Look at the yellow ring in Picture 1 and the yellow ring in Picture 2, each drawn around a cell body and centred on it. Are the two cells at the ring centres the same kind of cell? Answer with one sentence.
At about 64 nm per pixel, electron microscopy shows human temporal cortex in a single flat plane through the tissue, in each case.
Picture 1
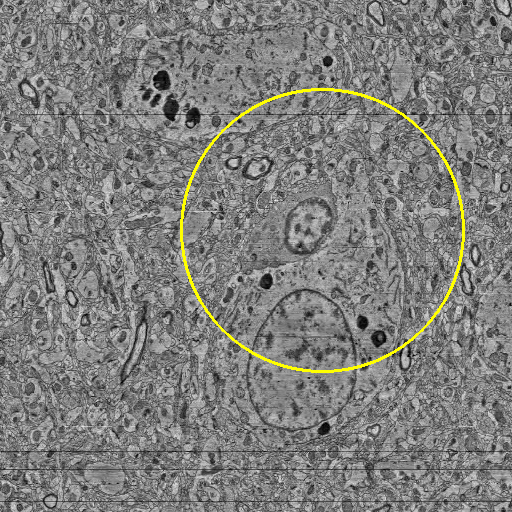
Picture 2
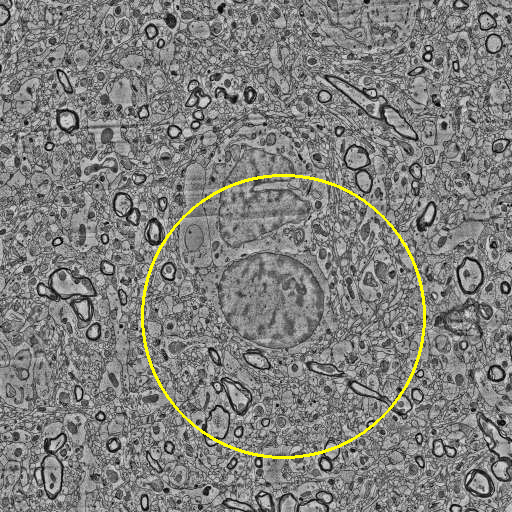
Yes, both are the same kind of cell.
